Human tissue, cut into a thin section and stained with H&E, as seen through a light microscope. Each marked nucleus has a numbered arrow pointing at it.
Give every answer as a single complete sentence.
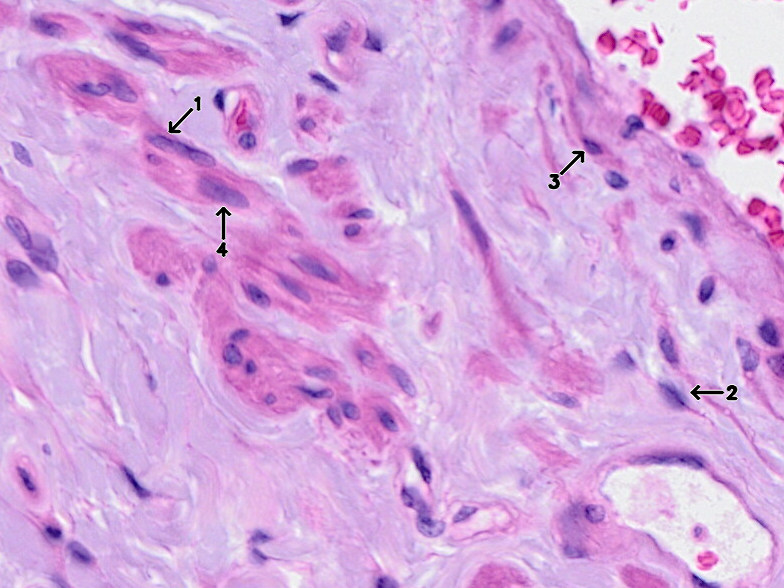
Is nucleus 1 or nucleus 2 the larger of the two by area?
Nucleus 2 is the larger one, covering about 2.5 times the area of nucleus 1.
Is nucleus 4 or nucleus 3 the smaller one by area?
With nucleus 4 about 4 times its size, nucleus 3 is the smaller of the two.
